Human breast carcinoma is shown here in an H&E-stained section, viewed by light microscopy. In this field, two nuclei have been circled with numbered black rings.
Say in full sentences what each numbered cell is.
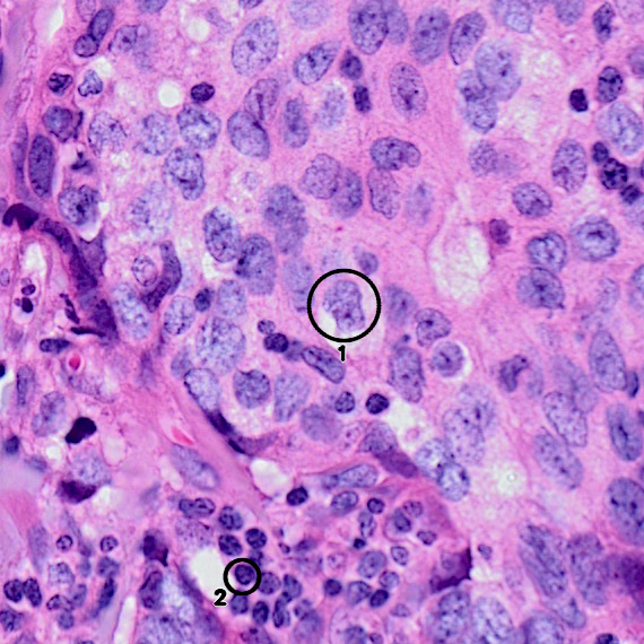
Cell 1 is a carcinoma cell. Cell 2 is a lymphocyte.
